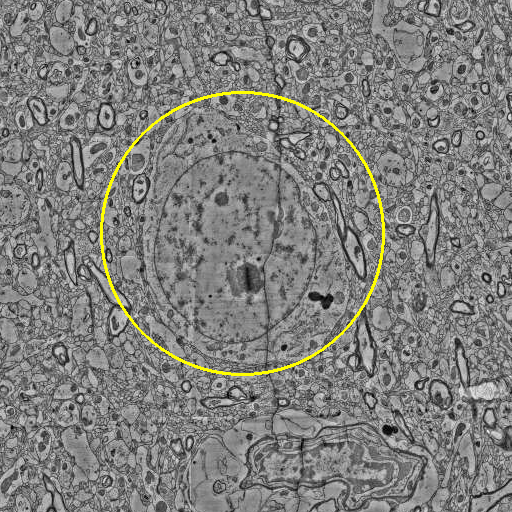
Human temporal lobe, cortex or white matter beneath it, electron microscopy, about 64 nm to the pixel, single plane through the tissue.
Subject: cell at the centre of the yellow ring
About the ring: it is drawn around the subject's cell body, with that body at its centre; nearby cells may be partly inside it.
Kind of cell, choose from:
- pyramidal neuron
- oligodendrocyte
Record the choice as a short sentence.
The subject cell is a pyramidal neuron.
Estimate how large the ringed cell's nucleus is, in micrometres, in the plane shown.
In this plane, the nucleus is roughly 12 by 10 micrometres.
